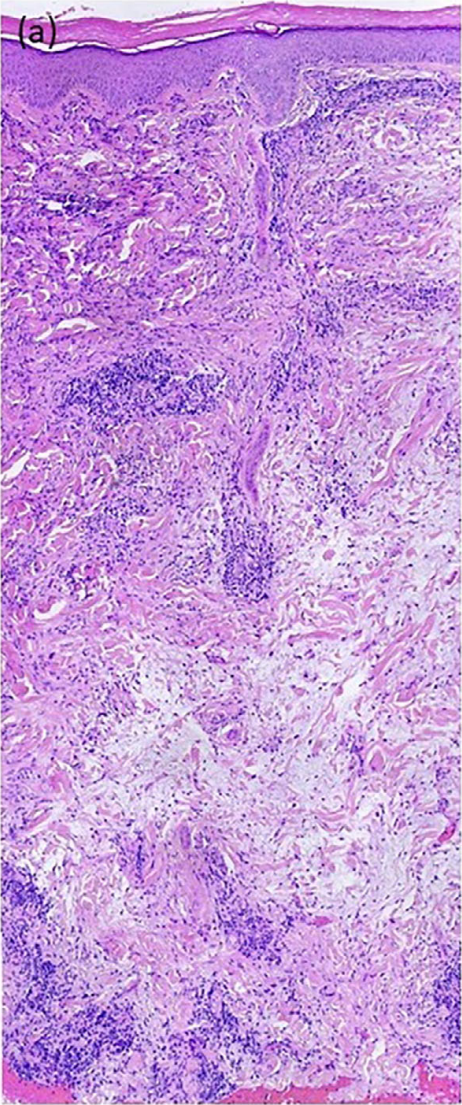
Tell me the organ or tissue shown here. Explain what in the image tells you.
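A layered squamous epithelium with a pink keratin layer lies on top. Beneath it lies dermis of wavy pink collagen bundles. Adnexal structures appear within the dermis.
Conclusion: skin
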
